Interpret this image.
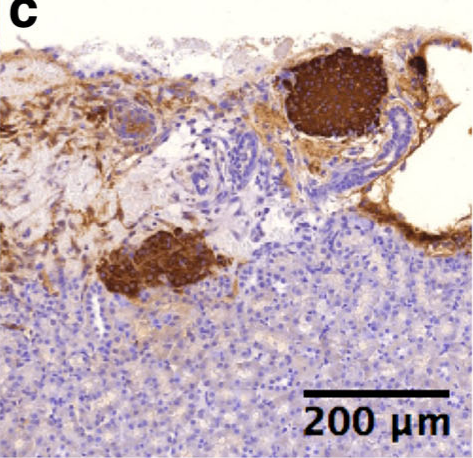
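Two islets appear as compact, rounded clusters of densely packed cells stained dark brown, one near the upper right and one lower in the centre. The islets are sharply bounded. Small round nuclei are faintly visible within them. Around the islets the loose tissue holds small vessels with blue-stained walls, pale spaces and scattered lighter brown staining.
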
